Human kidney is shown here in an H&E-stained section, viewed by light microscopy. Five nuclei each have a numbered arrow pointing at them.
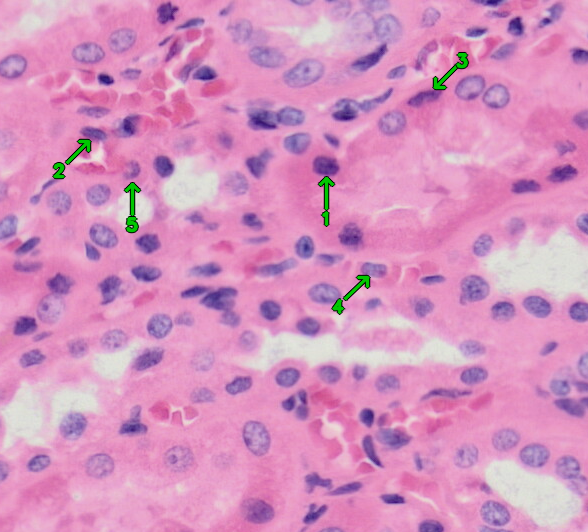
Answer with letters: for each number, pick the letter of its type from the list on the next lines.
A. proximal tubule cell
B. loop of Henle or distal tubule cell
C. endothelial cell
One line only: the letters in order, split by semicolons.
A; C; A; C; B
